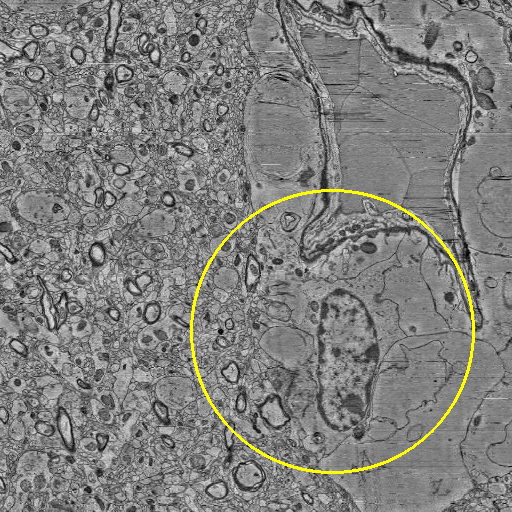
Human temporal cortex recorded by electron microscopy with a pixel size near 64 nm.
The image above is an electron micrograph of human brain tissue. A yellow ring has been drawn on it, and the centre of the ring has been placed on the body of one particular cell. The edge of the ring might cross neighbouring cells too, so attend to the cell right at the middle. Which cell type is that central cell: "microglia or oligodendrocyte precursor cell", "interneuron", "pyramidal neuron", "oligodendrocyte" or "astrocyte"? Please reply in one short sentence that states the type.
The central cell in the ring is a microglial cell or oligodendrocyte precursor cell.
